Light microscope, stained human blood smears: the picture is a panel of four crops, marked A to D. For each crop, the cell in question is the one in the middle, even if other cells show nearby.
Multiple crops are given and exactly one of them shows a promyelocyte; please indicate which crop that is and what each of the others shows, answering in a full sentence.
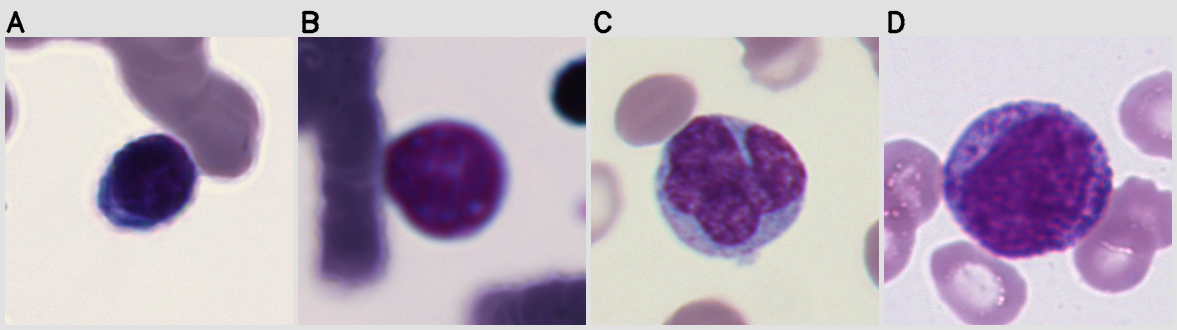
Crop D is a promyelocyte; as for the rest, crop A is a plasma cell, crop B is a myeloblast and crop C is a monocyte.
